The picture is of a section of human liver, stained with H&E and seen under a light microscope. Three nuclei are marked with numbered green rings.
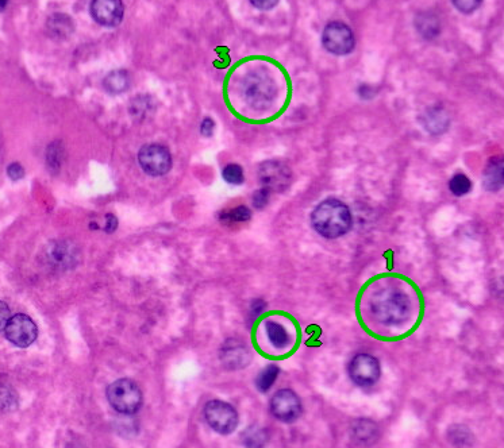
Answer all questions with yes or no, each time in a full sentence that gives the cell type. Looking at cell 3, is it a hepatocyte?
Yes, what number 3 marks is a hepatocyte.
